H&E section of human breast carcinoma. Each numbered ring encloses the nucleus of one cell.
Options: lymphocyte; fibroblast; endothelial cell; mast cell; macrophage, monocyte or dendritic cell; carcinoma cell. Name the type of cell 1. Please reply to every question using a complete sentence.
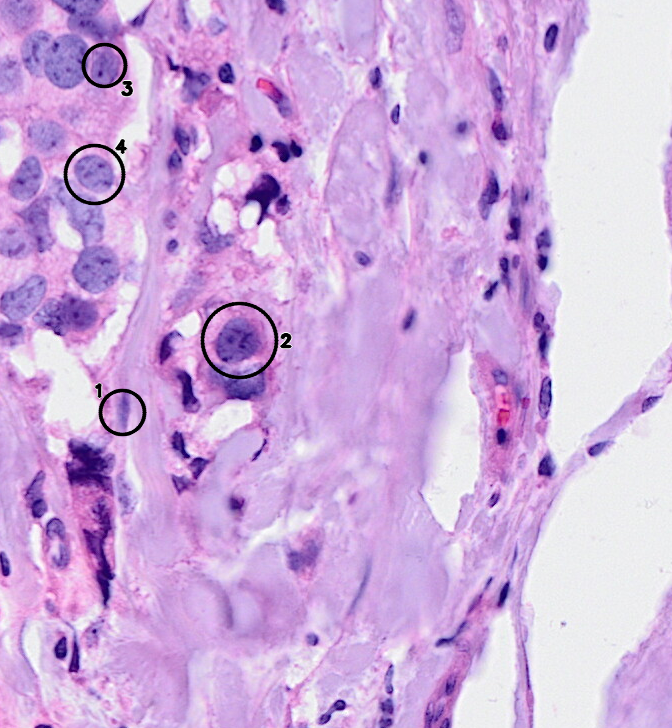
Among the marked nuclei, number 1 belongs to a fibroblast.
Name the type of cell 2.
Cell 2 in the field is a carcinoma cell.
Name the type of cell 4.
The marked cell with the number 4 is recognised as a carcinoma cell.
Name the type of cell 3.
The cell indicated by marker 3 is a carcinoma cell in this section.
